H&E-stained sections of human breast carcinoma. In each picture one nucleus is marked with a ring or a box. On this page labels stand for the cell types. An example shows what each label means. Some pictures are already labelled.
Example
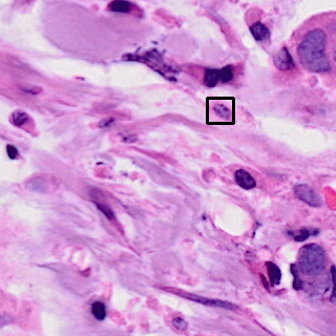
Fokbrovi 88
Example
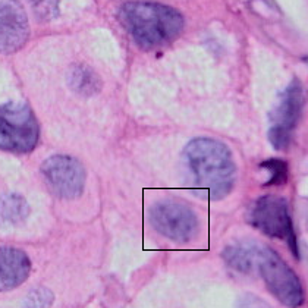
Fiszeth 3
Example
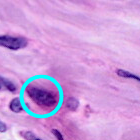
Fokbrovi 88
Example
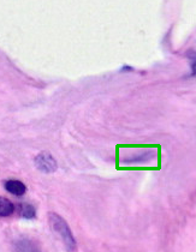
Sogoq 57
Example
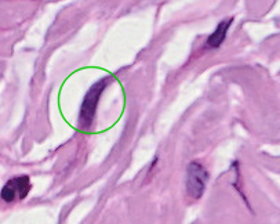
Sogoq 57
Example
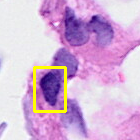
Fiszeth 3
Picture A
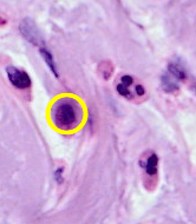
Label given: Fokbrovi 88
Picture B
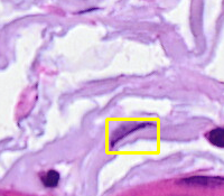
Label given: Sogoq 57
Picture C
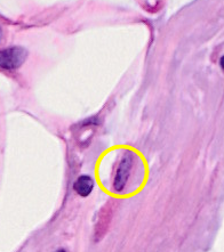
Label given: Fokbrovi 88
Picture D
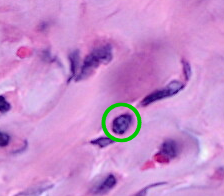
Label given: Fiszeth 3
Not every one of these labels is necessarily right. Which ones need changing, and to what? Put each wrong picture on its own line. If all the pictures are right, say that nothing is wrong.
D: Fokbrovi 88, not Fiszeth 3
